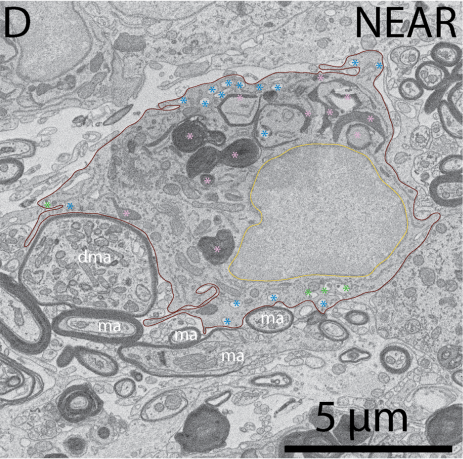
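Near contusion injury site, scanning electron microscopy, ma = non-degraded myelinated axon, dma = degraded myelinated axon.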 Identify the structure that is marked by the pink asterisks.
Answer: Myelin phagosome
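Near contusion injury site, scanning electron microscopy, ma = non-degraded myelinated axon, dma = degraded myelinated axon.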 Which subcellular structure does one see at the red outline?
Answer: Cytoplasmic membrane.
